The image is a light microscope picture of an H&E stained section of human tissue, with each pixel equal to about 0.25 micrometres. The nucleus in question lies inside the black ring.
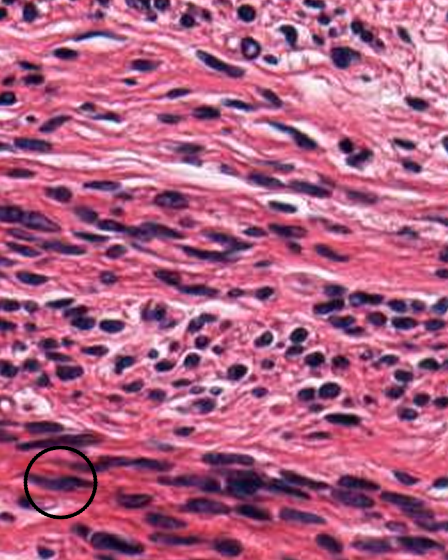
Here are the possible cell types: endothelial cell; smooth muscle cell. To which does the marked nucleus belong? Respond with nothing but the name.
smooth muscle cell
